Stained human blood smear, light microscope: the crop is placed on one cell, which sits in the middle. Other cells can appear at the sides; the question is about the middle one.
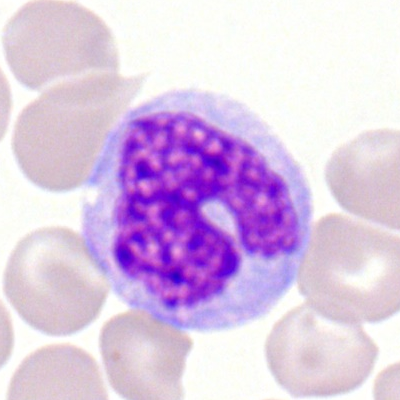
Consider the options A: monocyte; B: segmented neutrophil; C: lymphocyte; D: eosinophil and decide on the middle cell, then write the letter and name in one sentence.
In the centre of the crop there is a monocyte, making option A correct.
